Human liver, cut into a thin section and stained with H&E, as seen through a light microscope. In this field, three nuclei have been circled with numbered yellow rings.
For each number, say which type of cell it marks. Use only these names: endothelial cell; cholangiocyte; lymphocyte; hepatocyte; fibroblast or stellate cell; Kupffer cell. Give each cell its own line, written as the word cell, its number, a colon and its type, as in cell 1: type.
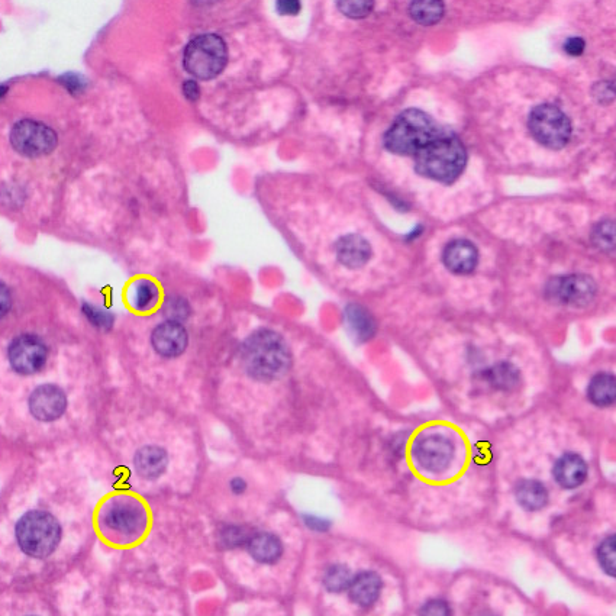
cell 1: fibroblast or stellate cell
cell 2: endothelial cell
cell 3: hepatocyte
